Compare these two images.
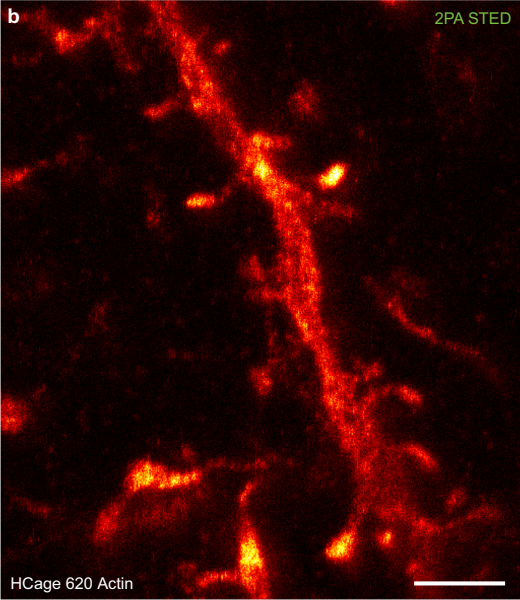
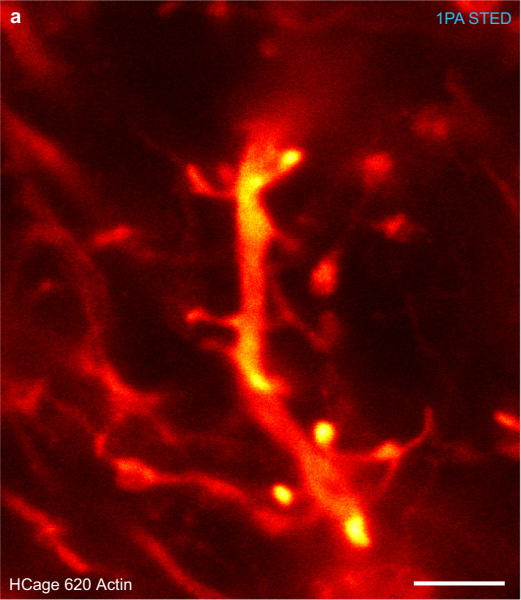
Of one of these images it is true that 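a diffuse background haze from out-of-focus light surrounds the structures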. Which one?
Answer: The second image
